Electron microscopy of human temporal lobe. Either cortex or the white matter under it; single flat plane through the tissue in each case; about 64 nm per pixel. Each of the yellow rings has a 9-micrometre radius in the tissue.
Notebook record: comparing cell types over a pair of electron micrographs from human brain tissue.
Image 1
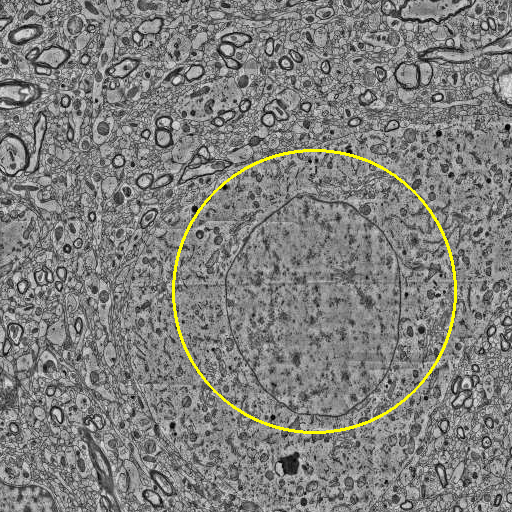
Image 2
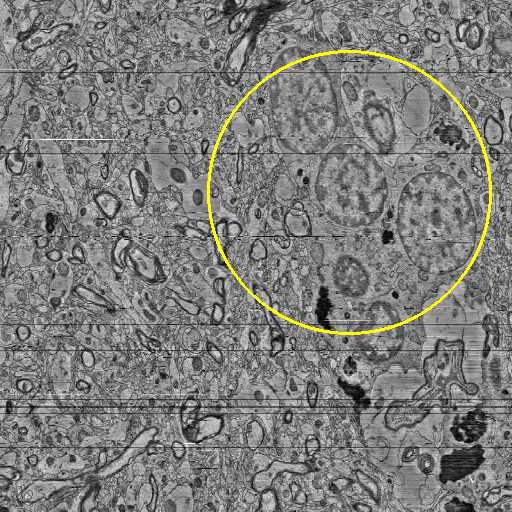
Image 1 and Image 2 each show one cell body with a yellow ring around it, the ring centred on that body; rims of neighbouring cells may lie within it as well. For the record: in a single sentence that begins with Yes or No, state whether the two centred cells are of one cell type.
No, two cell types are found among the centred cells of Image 1 and Image 2.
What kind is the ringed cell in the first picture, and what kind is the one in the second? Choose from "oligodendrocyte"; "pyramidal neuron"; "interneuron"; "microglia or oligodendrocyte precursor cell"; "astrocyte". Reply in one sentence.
The first cell is a pyramidal neuron; the second is an oligodendrocyte.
